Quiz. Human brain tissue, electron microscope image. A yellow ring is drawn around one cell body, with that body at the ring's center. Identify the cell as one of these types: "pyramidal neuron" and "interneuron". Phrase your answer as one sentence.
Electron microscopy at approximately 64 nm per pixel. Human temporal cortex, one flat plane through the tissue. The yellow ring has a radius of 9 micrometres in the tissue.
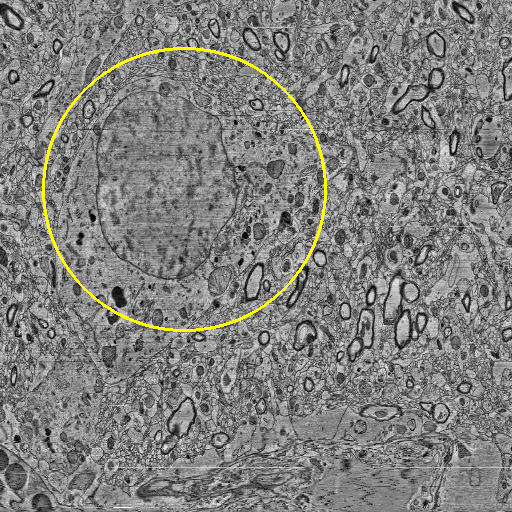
At the center of the ring sits a pyramidal neuron.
